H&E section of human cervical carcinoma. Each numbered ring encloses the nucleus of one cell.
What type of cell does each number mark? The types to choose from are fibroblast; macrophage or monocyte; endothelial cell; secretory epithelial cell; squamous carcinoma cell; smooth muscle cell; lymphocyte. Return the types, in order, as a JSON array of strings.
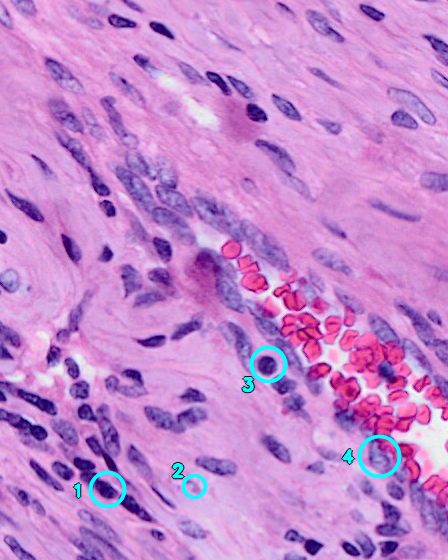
["lymphocyte", "fibroblast", "lymphocyte", "endothelial cell"]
